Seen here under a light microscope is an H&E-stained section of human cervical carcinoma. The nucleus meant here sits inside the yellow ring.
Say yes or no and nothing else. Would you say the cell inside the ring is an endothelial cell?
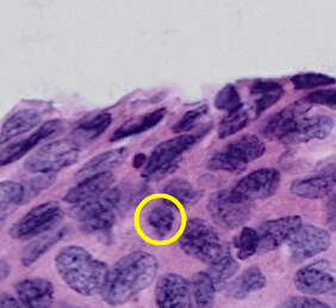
no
